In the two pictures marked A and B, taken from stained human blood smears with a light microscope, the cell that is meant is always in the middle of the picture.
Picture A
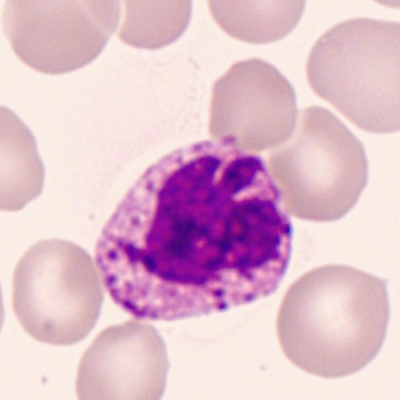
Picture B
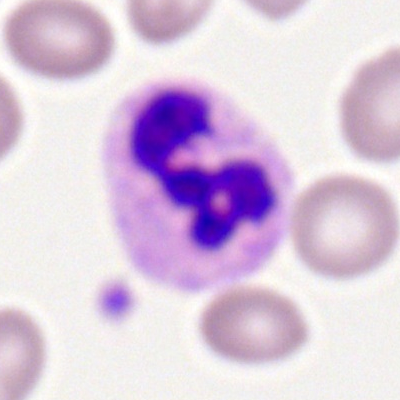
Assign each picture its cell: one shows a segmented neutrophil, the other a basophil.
A: basophil
B: segmented neutrophil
